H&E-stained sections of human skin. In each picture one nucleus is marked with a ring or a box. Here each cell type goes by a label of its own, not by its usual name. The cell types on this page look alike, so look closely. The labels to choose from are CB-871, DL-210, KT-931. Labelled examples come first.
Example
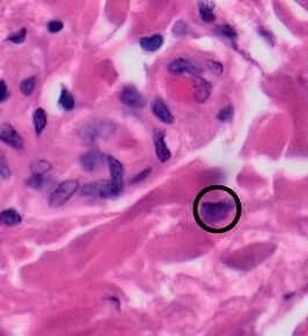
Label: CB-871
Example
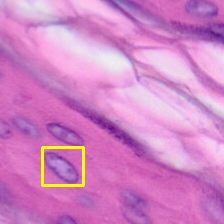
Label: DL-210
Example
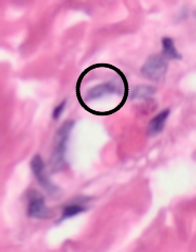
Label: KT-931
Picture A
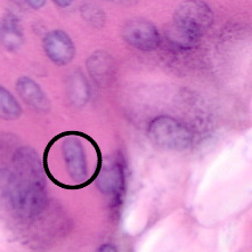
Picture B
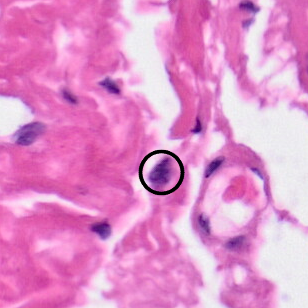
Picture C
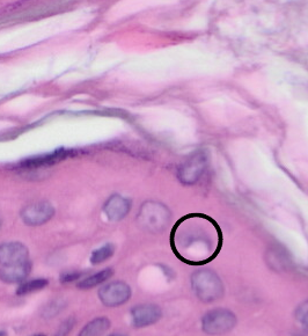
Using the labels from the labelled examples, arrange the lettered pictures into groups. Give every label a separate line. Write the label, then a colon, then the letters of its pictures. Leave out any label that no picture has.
CB-871: B
DL-210: A, C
